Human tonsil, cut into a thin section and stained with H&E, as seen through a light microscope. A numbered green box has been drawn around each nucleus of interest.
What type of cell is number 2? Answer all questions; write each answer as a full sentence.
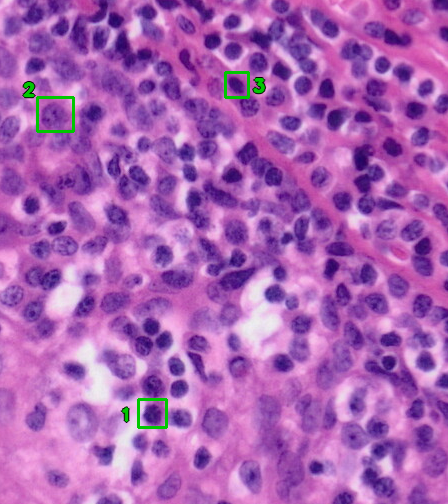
The expected answer is that cell 2 is a squamous epithelial cell.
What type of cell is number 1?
Corresponding to a plasma cell is the cell labelled 1.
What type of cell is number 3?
Cell 3 in the field is a plasma cell.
